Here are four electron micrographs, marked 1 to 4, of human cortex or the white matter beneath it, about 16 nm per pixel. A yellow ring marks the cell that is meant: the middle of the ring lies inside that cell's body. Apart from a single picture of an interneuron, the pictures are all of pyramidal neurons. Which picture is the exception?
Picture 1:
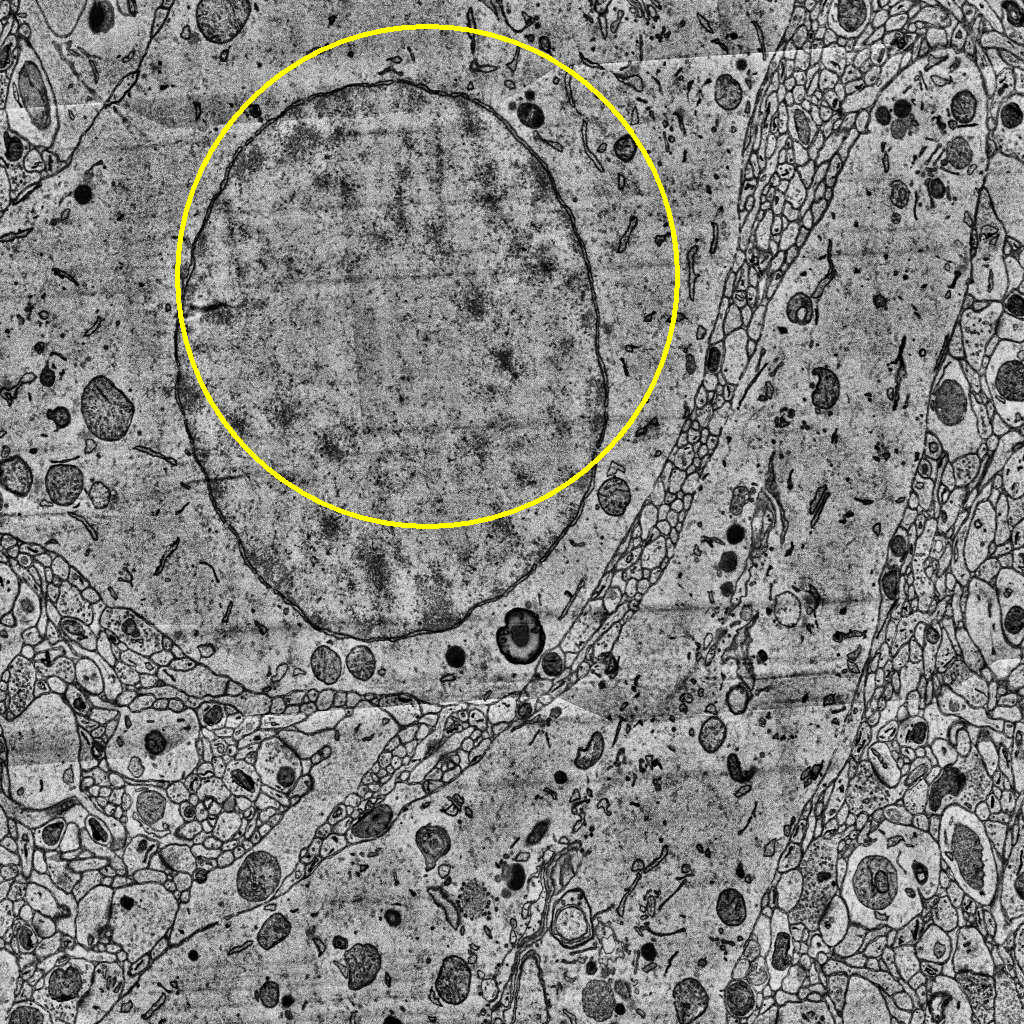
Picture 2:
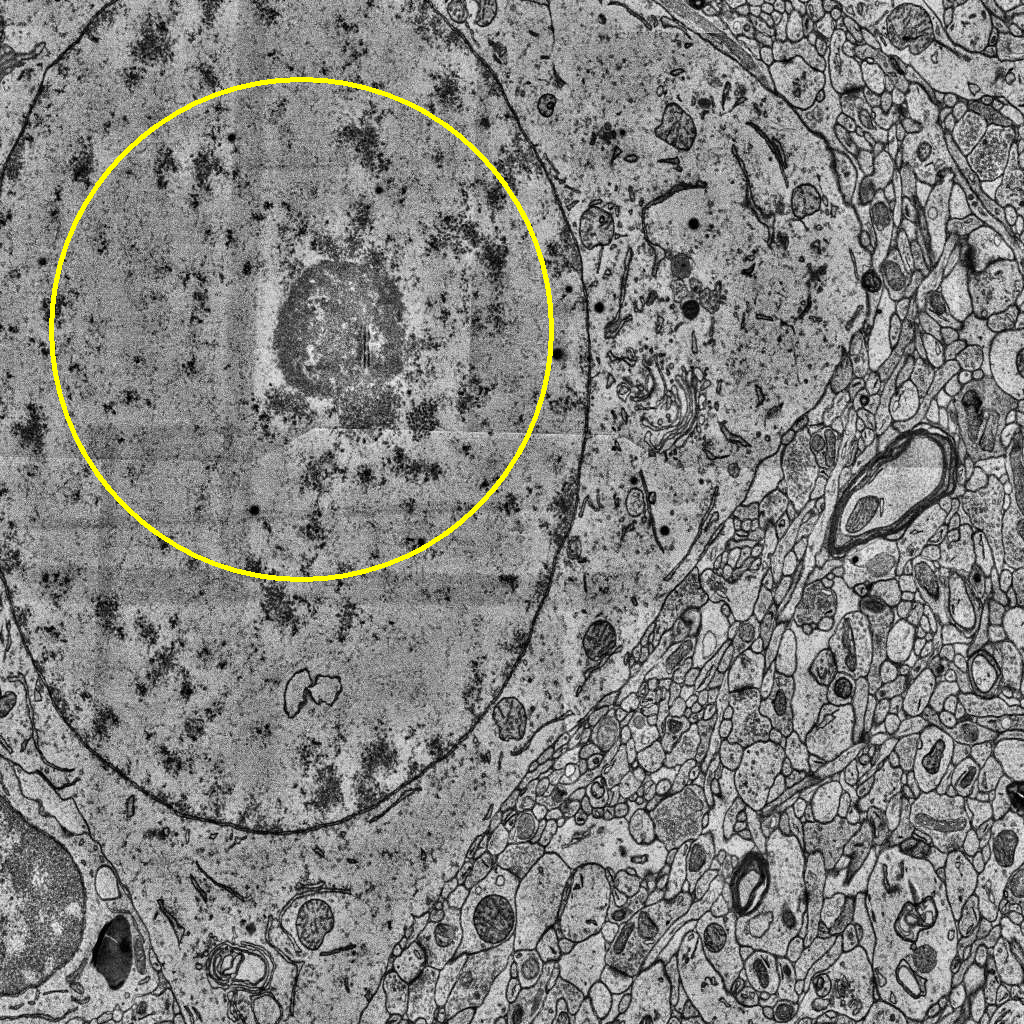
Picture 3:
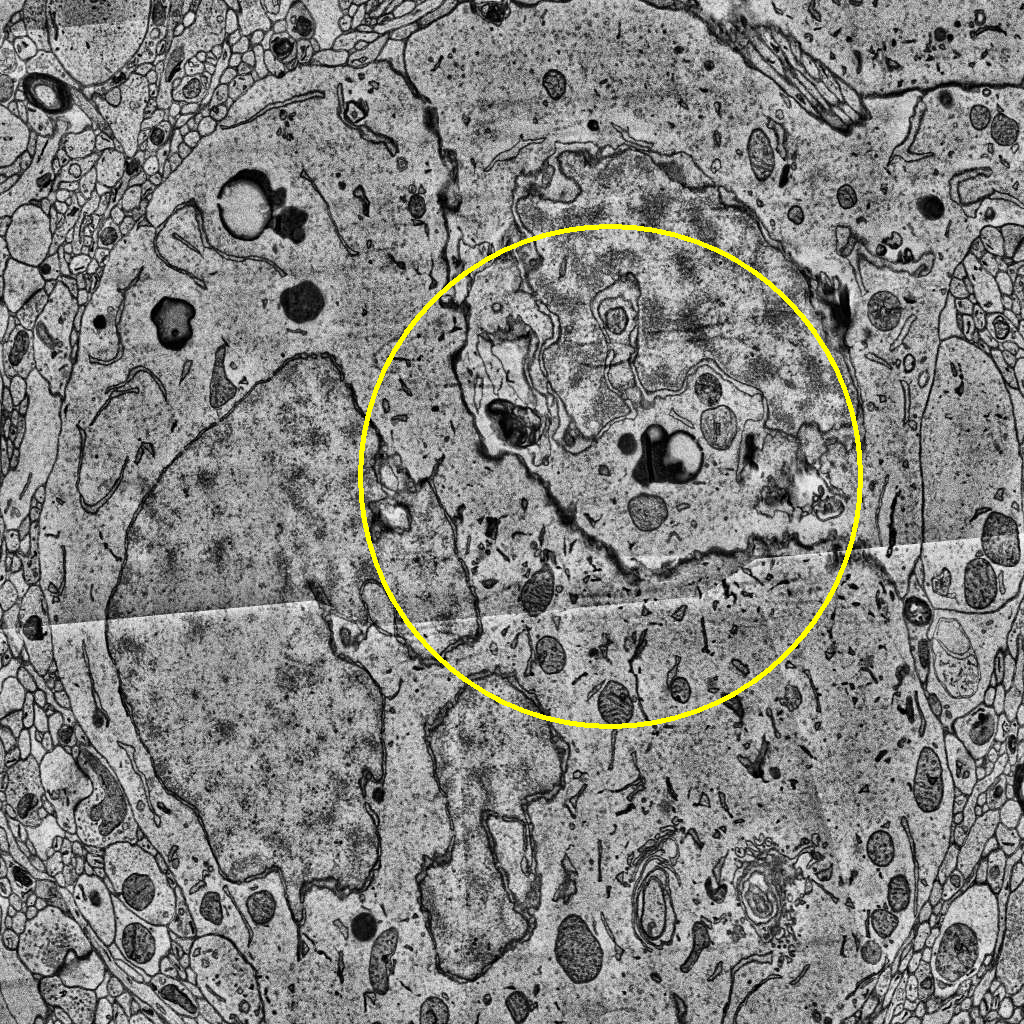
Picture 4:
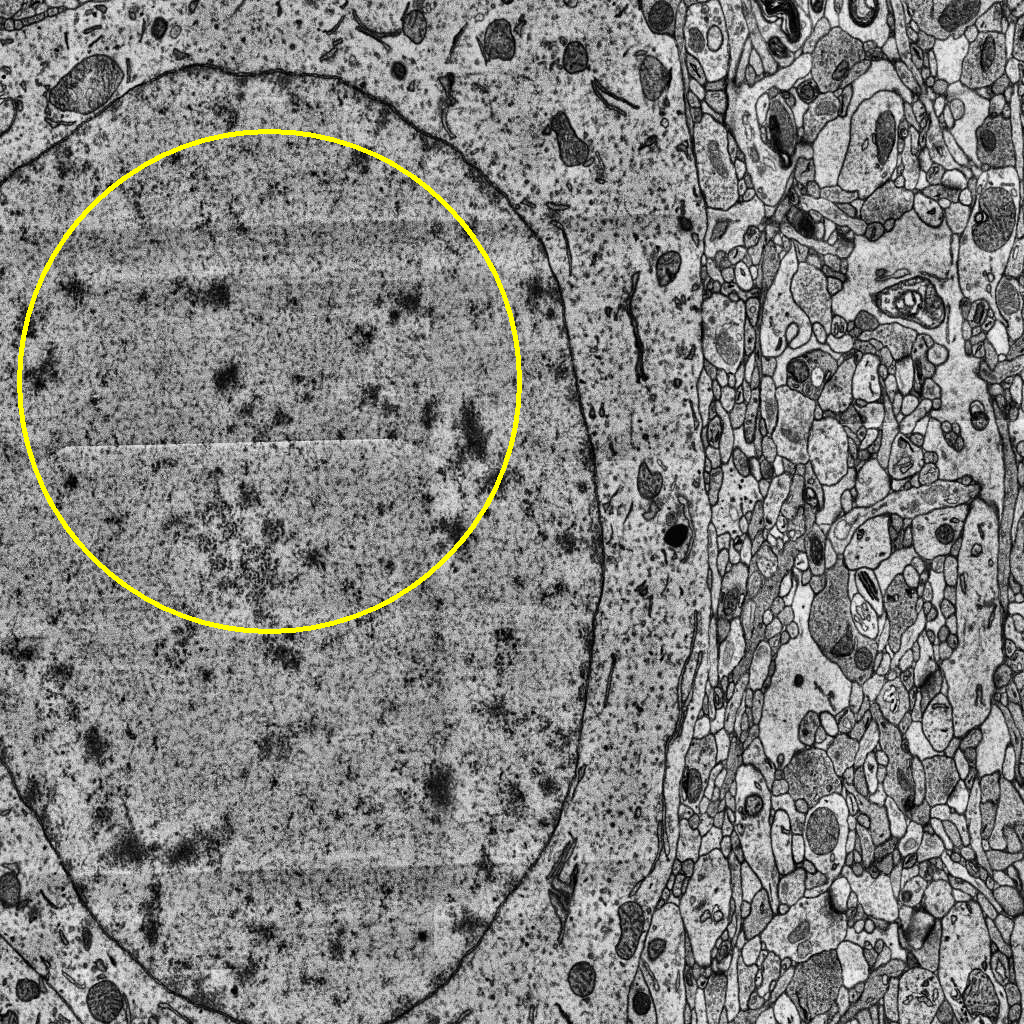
The interneuron is the one in picture 3.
